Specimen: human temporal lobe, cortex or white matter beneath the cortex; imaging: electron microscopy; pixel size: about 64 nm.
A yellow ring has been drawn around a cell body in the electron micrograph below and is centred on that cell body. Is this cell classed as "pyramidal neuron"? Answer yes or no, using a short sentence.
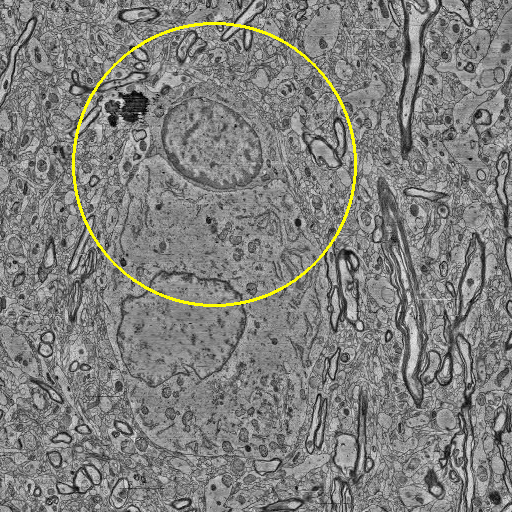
No, it is classed as another kind.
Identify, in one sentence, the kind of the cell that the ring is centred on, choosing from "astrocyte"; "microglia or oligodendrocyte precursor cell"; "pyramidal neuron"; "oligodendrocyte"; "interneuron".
The ring's central cell is an oligodendrocyte instead.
